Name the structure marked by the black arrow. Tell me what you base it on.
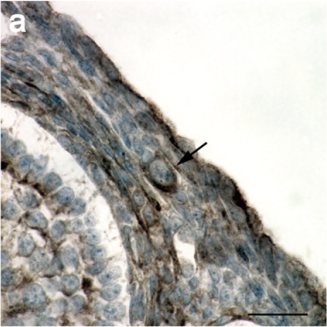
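A small round structure lies in the outer part of the ovary just beneath the surface. A single rounded cell is enclosed by a thin rim of flattened cells. The answer: primordial follicles.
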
